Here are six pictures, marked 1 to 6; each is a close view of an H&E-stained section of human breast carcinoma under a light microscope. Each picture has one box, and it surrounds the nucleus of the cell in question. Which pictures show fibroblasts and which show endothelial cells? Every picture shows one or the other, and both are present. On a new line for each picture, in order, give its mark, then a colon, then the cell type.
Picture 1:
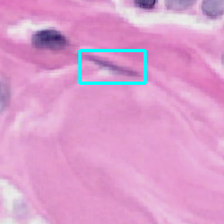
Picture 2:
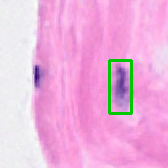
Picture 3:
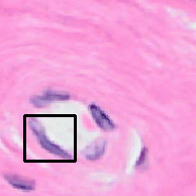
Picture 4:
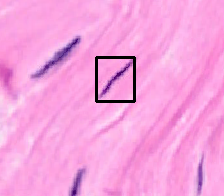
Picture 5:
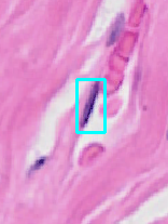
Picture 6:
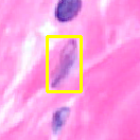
1: fibroblast
2: fibroblast
3: endothelial cell
4: fibroblast
5: endothelial cell
6: fibroblast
